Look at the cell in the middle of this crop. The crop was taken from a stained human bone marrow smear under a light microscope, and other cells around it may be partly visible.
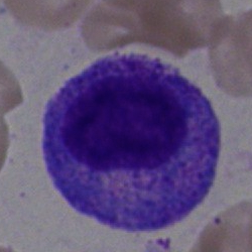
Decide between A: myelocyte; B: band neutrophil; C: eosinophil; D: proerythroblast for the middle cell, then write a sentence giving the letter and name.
The middle of the crop holds a myelocyte, which points to option A.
